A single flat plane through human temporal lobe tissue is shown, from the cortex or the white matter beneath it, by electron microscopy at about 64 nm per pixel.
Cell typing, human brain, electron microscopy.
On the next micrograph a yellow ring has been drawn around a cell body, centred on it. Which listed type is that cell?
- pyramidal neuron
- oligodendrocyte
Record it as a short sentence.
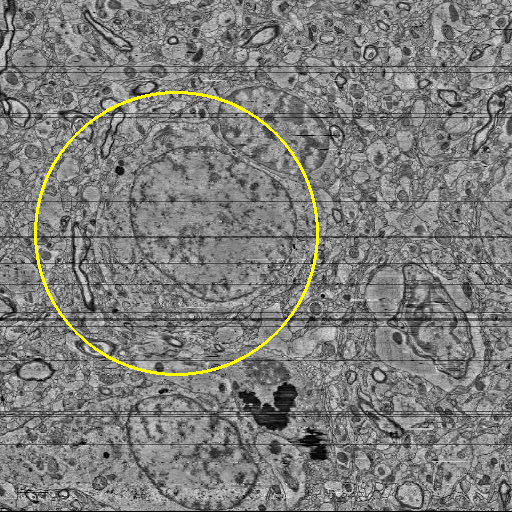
The cell body in the ring's centre belongs to a pyramidal neuron.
